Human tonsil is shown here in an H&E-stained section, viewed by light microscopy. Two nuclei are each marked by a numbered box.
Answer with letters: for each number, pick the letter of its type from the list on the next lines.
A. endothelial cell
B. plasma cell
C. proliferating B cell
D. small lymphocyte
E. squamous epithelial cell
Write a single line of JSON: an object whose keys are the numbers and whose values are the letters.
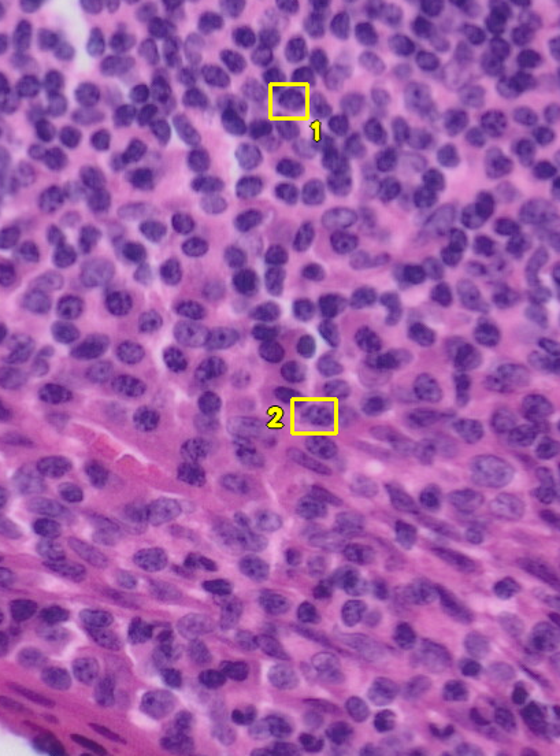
{"1": "D", "2": "B"}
